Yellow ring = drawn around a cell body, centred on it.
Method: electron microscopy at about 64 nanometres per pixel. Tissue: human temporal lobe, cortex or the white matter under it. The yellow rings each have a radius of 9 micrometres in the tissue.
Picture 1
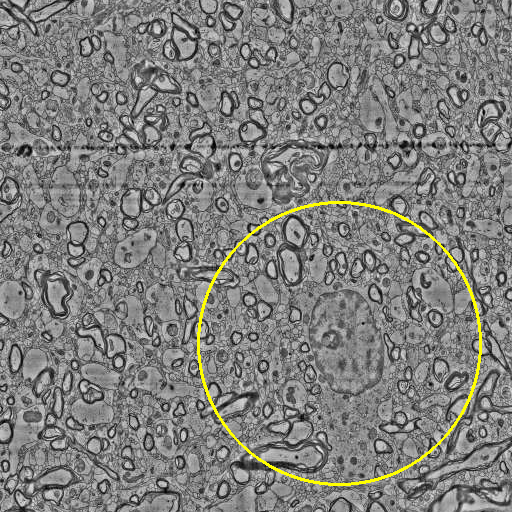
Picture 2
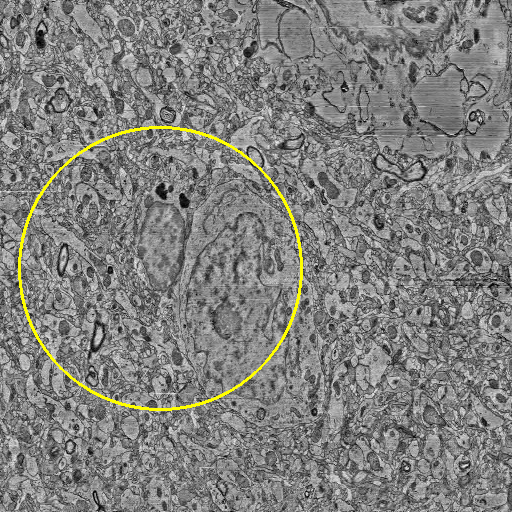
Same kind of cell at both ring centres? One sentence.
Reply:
Yes, they are the same kind of cell.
